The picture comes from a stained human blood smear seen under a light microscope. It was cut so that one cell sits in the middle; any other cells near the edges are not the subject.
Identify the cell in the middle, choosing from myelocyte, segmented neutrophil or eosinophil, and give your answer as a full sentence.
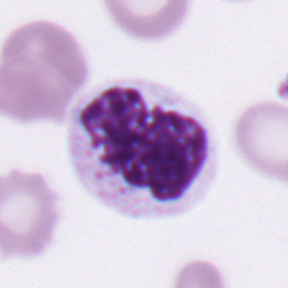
In the middle of this smear crop, the cell is a segmented neutrophil.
